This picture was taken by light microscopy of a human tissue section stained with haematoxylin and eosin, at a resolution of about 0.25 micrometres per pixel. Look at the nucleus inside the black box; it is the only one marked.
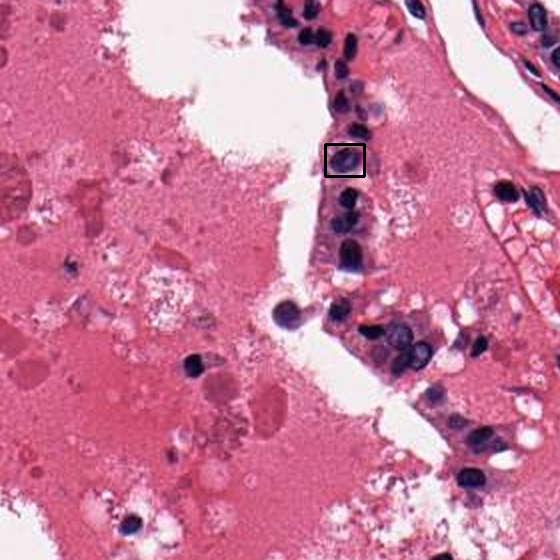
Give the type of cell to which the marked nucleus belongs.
thyroid follicular cell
